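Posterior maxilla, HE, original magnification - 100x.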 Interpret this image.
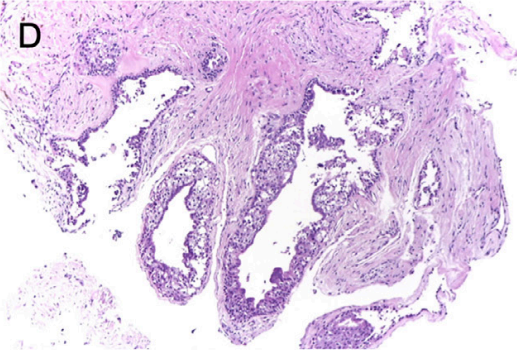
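At low power, a cystic lesion shows several irregular spaces lined by a purple-staining epithelium. The lining folds in and out, forming small gland-like spaces and microcysts within it. Around these spaces lies pale pink, loosely fibrous connective tissue.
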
